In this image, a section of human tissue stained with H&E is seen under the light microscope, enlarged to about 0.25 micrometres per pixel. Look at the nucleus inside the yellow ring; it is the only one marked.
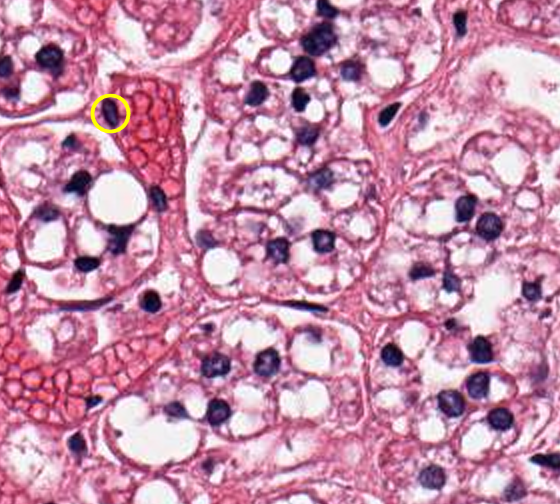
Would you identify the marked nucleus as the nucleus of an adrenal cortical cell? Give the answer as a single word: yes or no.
no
